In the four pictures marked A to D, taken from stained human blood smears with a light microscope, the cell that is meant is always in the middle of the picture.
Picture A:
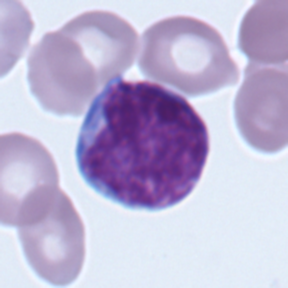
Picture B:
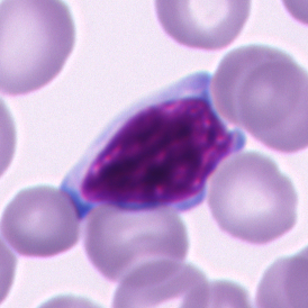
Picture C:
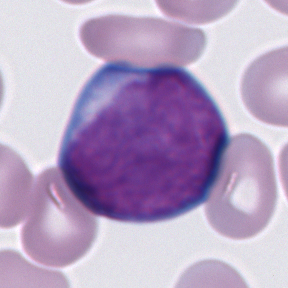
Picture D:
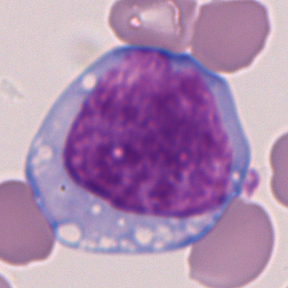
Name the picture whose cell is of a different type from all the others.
B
